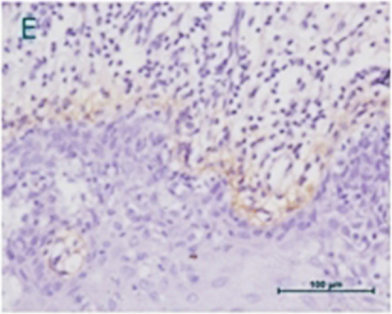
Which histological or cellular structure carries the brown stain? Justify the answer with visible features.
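A thin faint brown line runs along the border between epithelium and the cell-rich connective tissue. Epithelial cells are unstained. The answer: basement membrane.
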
